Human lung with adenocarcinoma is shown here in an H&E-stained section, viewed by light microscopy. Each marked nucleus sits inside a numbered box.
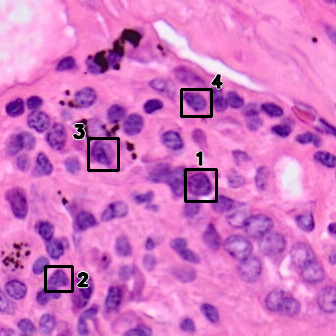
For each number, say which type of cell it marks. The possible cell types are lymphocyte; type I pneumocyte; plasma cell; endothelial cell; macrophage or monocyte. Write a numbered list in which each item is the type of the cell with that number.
1. plasma cell
2. lymphocyte
3. plasma cell
4. lymphocyte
